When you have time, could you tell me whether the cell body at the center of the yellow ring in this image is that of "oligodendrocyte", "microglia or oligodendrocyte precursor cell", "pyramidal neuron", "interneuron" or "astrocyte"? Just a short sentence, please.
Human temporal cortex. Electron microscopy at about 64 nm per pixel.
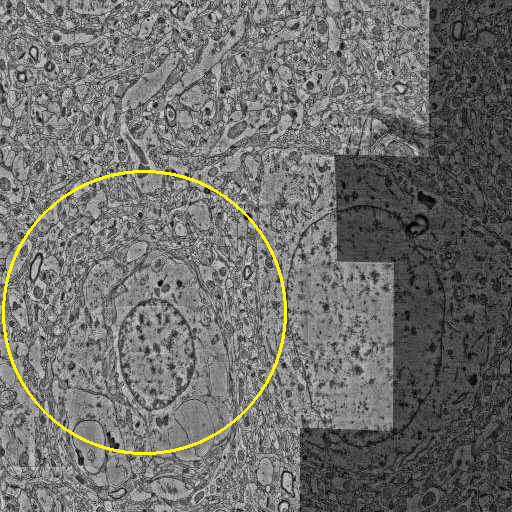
The cell body at the center of the ring is that of an astrocyte.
